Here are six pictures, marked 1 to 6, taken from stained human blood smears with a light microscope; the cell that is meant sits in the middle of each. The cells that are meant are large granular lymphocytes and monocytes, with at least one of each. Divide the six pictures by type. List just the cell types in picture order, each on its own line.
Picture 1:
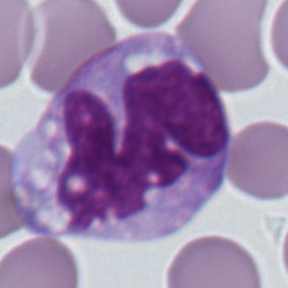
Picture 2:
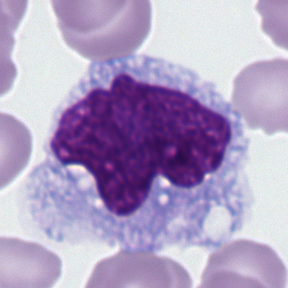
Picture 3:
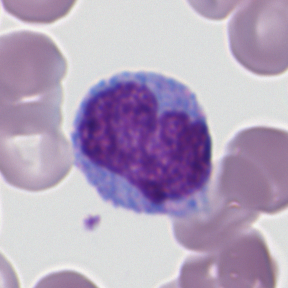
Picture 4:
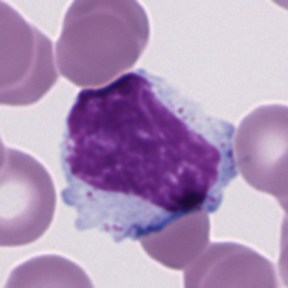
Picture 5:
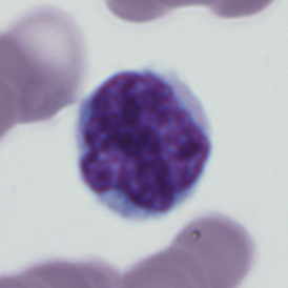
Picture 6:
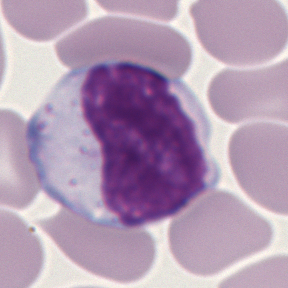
monocyte
monocyte
monocyte
large granular lymphocyte
monocyte
large granular lymphocyte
